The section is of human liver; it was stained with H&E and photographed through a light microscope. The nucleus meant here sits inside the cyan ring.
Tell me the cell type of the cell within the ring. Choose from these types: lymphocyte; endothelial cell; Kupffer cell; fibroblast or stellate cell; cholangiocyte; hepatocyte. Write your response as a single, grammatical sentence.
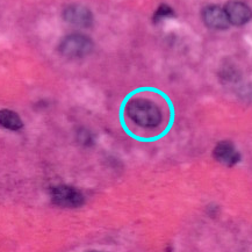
The cell type represented by the cell within the ring is that of a hepatocyte.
